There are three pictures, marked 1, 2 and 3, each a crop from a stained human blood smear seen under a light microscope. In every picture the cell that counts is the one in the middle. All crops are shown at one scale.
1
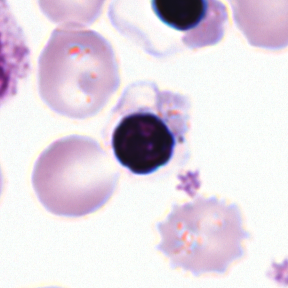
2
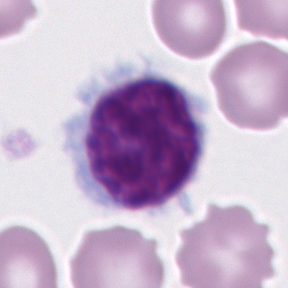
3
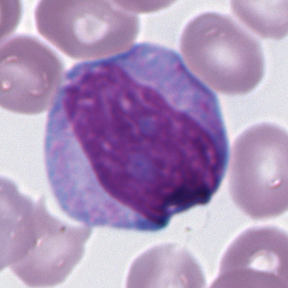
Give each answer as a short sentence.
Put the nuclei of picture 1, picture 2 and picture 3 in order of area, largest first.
The order is 3, 2, 1, beginning with the largest.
